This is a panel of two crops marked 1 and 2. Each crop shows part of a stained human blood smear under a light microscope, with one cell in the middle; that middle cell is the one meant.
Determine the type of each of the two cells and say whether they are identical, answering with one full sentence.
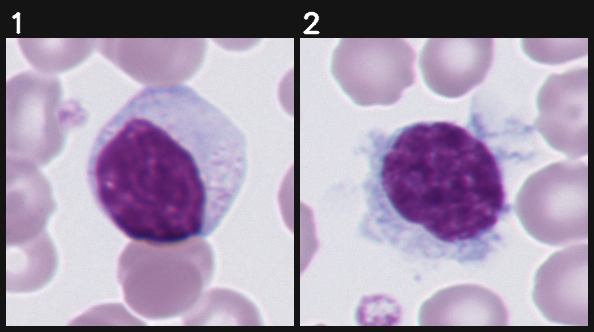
No, it is crop 1 that shows a large granular lymphocyte, and crop 2 shows a hairy cell.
